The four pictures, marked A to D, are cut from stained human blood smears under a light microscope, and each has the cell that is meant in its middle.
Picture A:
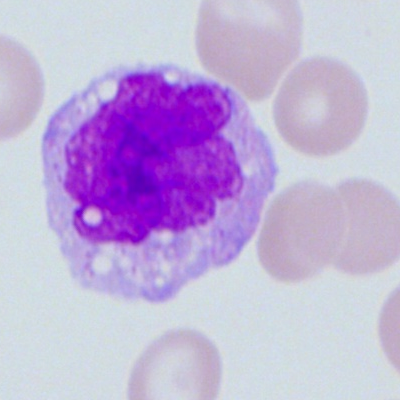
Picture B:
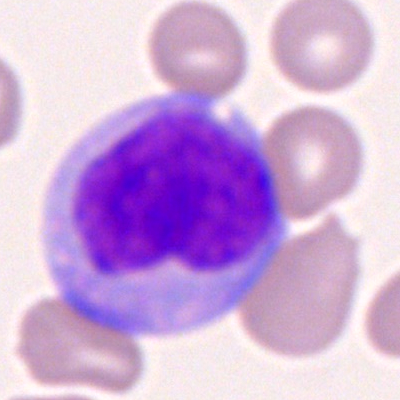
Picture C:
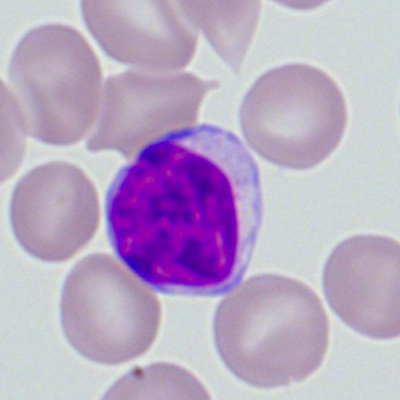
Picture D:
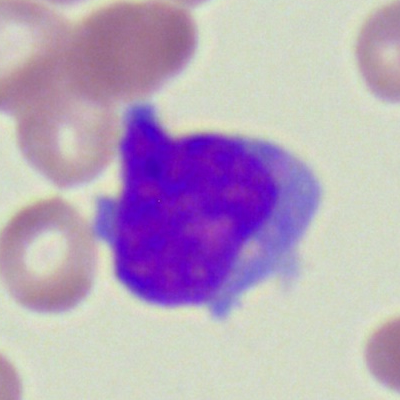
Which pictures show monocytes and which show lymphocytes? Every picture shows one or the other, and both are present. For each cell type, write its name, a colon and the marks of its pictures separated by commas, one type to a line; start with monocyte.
monocyte: A, B, D
lymphocyte: C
